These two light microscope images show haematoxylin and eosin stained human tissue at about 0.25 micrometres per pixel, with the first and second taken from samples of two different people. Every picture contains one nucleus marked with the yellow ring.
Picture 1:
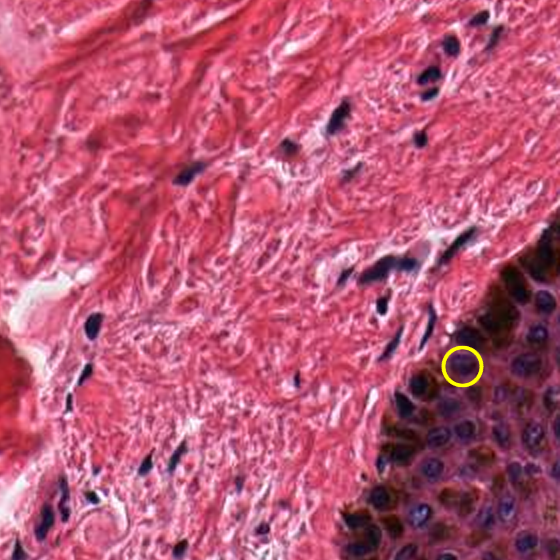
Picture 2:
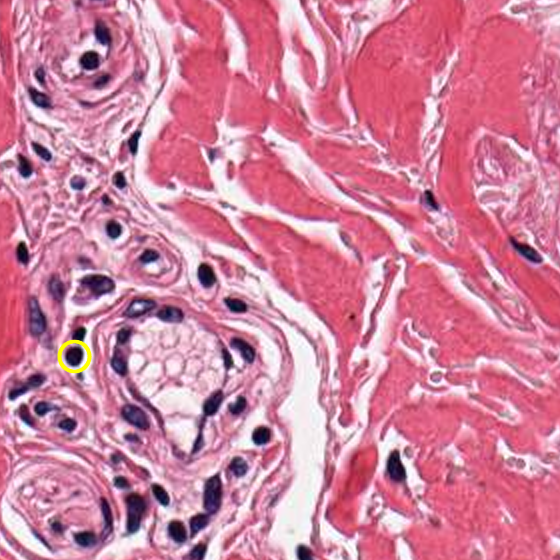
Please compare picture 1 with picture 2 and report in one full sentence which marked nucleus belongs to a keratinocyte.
As for picture 1, its marked nucleus belongs to a keratinocyte.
